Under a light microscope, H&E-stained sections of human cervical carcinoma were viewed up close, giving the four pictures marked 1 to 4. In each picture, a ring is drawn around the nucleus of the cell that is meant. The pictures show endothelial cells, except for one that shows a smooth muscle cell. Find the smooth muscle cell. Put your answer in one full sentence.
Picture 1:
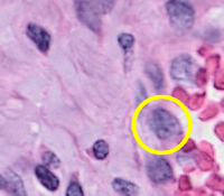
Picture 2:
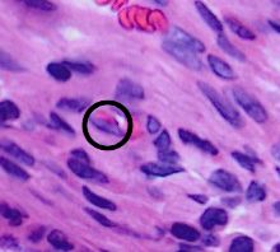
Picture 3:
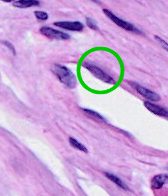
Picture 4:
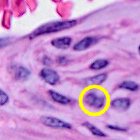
The cell in picture 4 is the smooth muscle cell.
